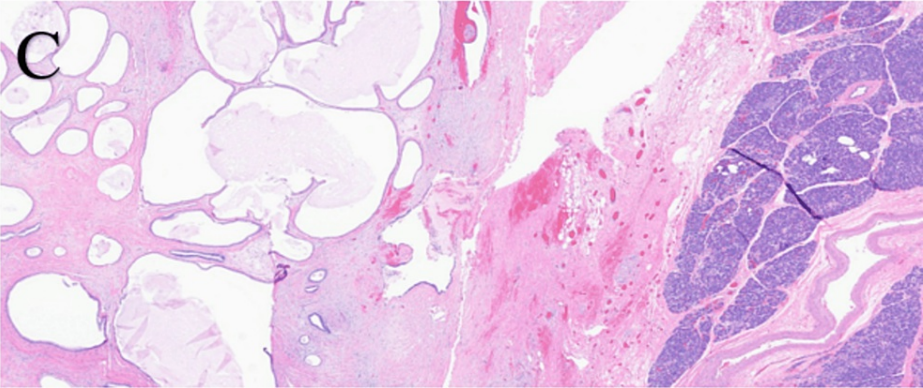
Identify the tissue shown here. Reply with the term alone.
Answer: Pancreas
